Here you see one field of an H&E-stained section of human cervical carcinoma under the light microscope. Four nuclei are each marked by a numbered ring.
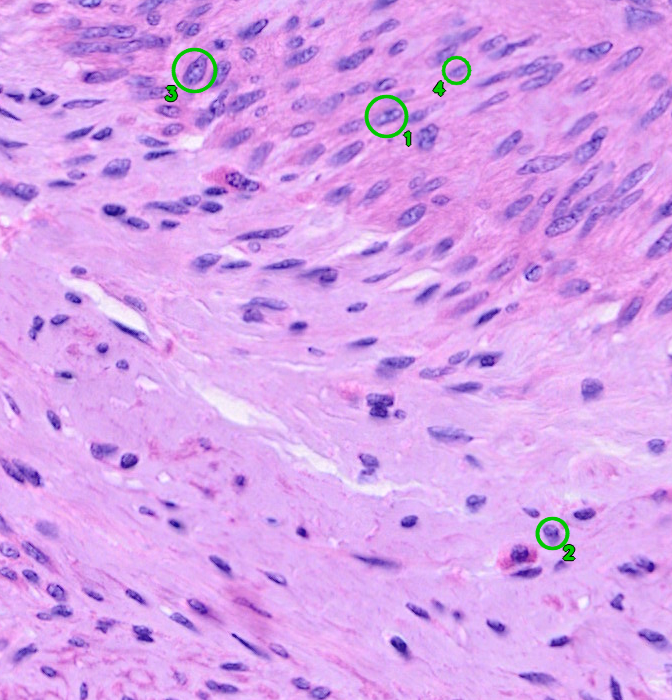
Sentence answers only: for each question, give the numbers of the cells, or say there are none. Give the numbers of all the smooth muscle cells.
Each of the cells numbered 1, 3 and 4 is among the smooth muscle cells.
